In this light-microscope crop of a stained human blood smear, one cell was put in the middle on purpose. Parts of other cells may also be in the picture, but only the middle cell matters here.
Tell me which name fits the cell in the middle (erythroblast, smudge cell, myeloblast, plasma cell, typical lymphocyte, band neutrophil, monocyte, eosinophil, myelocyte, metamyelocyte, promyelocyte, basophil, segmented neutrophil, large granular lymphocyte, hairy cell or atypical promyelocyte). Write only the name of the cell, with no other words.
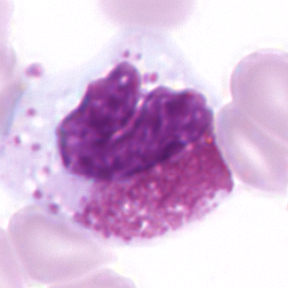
eosinophil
